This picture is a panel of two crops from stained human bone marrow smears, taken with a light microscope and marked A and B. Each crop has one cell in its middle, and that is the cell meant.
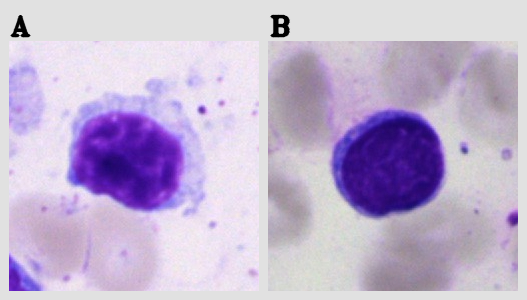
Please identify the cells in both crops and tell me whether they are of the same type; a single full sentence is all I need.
Yes, both crops have lymphocytes at the centre.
